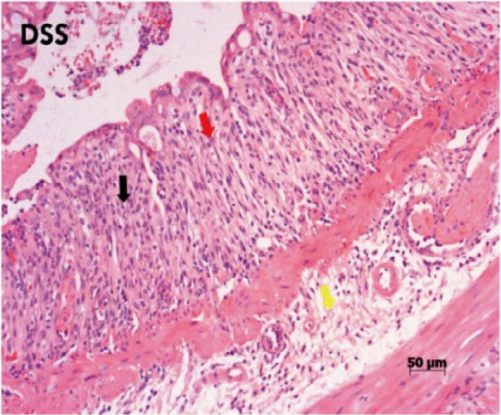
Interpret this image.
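This colon wall has a mucosa that has lost its regular crypts and goblet cells and is replaced by densely cellular pink tissue crowded with many oval and elongated purple nuclei. The luminal surface is irregular and in places lacks an intact lining epithelium. Beneath the mucosa lies a widened, pale, loose layer containing scattered nuclei and small vessels. Bands of pink smooth muscle run along the mucosa and the outer wall.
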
